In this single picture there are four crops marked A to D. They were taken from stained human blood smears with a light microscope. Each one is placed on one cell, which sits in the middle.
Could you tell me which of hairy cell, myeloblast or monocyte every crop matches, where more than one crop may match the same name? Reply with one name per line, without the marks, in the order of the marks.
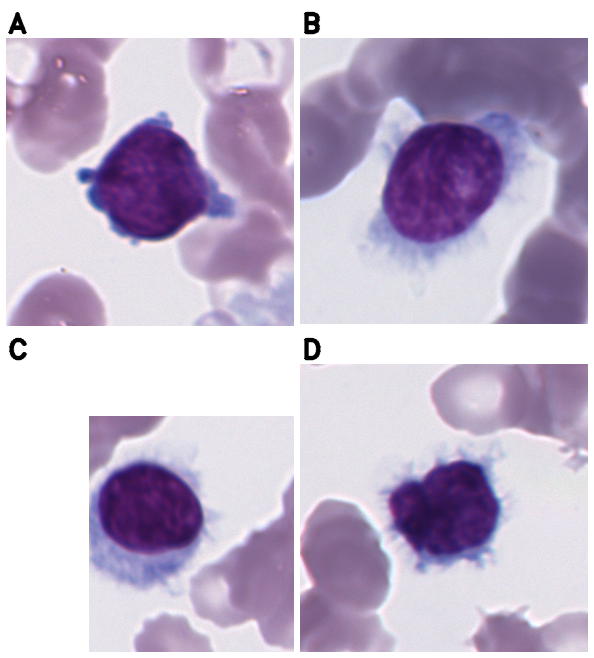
myeloblast
hairy cell
hairy cell
hairy cell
